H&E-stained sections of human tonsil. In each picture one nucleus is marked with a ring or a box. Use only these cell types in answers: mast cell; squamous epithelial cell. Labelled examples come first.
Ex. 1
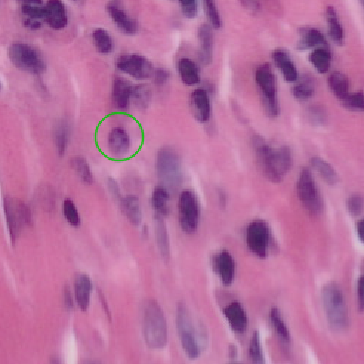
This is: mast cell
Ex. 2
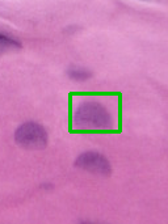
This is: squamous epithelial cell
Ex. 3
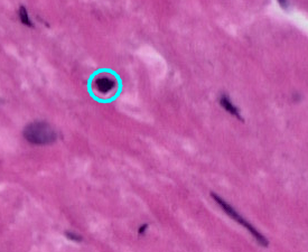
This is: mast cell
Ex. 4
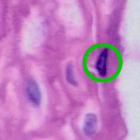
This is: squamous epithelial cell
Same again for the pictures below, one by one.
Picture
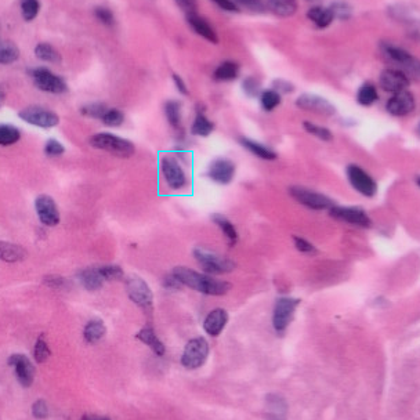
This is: mast cell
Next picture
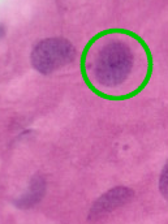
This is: squamous epithelial cell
